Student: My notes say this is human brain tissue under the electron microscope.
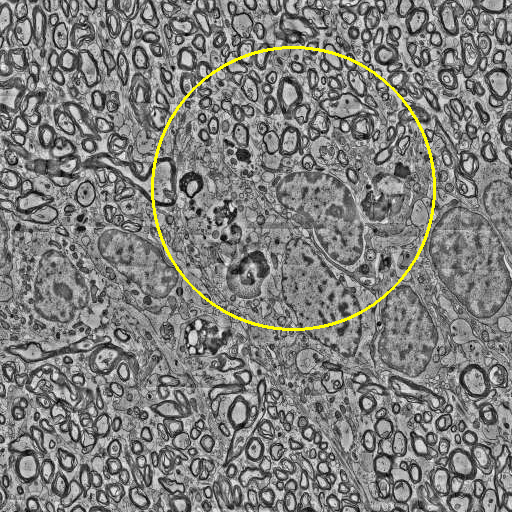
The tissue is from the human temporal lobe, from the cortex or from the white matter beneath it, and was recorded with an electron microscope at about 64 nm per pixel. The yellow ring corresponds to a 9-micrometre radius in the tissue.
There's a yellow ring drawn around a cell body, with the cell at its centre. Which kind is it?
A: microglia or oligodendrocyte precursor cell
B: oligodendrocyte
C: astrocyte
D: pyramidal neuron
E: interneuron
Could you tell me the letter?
A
